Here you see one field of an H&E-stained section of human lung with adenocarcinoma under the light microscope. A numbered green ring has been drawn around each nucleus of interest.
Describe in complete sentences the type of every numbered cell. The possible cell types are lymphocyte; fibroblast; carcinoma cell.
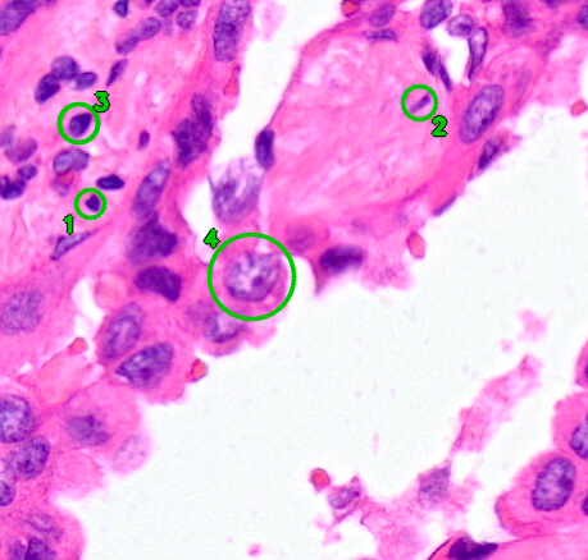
Cell 1 is a lymphocyte, cell 2 is a fibroblast, cell 3 is a lymphocyte and cell 4 is a carcinoma cell.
